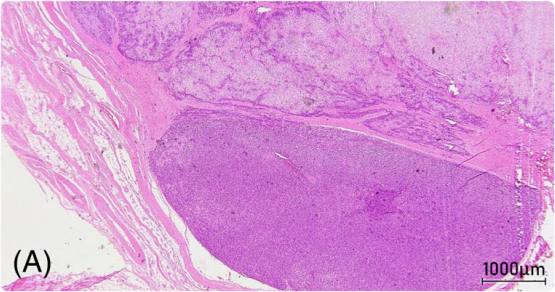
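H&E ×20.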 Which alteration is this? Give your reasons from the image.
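A pale, glassy cartilage-like area lies directly next to a densely cellular purple nodule. The border between the two areas is sharp.
Abrupt transition.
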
